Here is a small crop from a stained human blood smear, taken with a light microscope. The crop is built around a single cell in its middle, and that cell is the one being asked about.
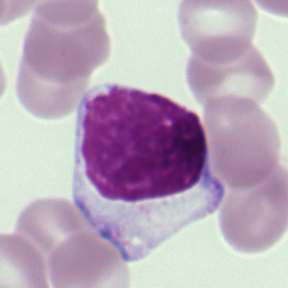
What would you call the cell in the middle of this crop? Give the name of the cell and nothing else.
large granular lymphocyte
